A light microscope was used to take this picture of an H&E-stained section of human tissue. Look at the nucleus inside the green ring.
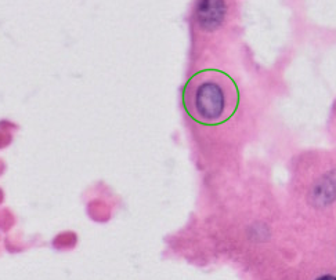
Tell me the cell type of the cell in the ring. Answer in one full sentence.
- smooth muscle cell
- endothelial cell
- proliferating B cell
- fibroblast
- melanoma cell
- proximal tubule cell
The correct response here is that the cell in the ring is a proximal tubule cell.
